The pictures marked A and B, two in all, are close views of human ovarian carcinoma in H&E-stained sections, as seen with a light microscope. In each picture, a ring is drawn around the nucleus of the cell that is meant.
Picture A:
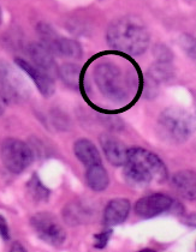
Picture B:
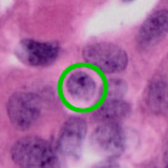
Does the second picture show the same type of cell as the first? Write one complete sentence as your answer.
No. Picture A shows a carcinoma cell, but picture B shows a “macrophage or monocyte”.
